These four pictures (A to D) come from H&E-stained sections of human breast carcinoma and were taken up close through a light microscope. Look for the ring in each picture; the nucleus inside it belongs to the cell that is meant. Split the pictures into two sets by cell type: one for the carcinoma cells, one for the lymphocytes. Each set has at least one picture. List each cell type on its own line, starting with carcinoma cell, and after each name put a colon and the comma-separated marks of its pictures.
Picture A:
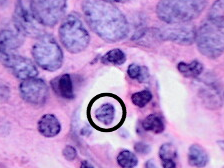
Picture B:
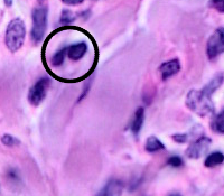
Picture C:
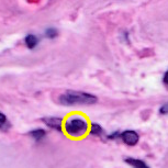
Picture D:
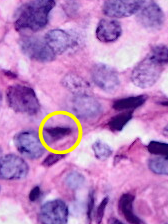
carcinoma cell: D
lymphocyte: A, B, C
